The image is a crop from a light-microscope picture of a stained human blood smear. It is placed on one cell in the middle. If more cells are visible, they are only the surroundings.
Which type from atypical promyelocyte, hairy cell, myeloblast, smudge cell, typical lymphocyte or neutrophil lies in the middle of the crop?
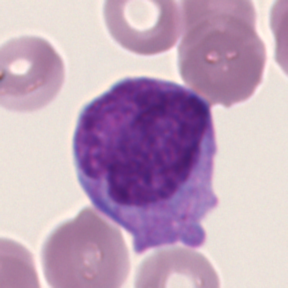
atypical promyelocyte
